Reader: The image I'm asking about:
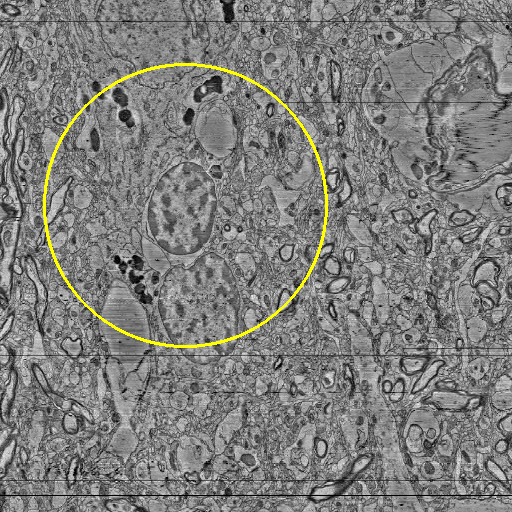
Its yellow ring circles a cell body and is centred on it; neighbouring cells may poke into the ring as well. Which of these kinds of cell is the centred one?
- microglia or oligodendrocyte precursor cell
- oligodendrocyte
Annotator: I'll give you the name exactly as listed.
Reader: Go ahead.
microglia or oligodendrocyte precursor cell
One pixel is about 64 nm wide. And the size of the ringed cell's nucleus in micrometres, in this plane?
The ringed cell's nucleus measures approximately 6 by 4 micrometres in this plane.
